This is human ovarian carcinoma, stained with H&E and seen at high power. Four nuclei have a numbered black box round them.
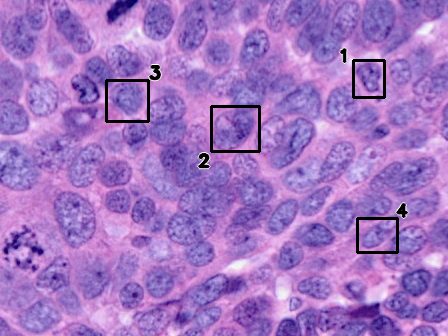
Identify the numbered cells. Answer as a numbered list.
1. macrophage or monocyte
2. carcinoma cell
3. carcinoma cell
4. carcinoma cell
